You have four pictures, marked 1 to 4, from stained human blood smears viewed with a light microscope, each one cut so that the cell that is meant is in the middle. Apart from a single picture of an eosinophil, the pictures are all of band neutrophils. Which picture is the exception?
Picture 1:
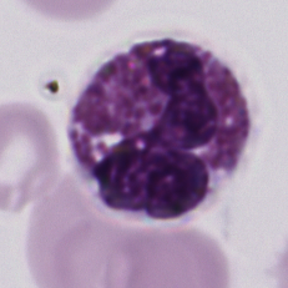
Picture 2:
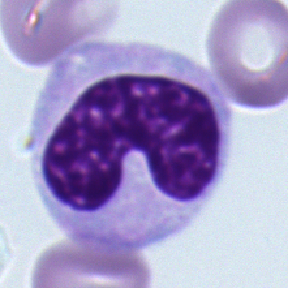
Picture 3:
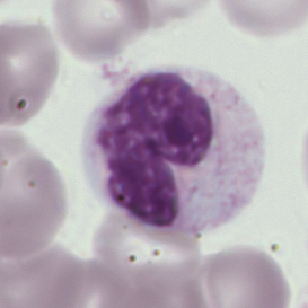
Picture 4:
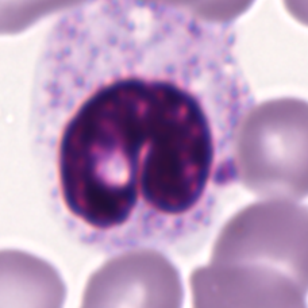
1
